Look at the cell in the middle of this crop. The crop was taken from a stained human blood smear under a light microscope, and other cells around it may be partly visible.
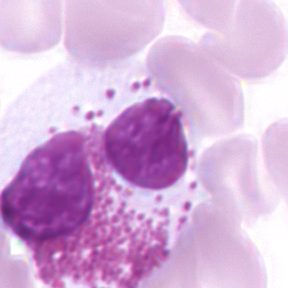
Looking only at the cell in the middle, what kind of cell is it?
eosinophil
